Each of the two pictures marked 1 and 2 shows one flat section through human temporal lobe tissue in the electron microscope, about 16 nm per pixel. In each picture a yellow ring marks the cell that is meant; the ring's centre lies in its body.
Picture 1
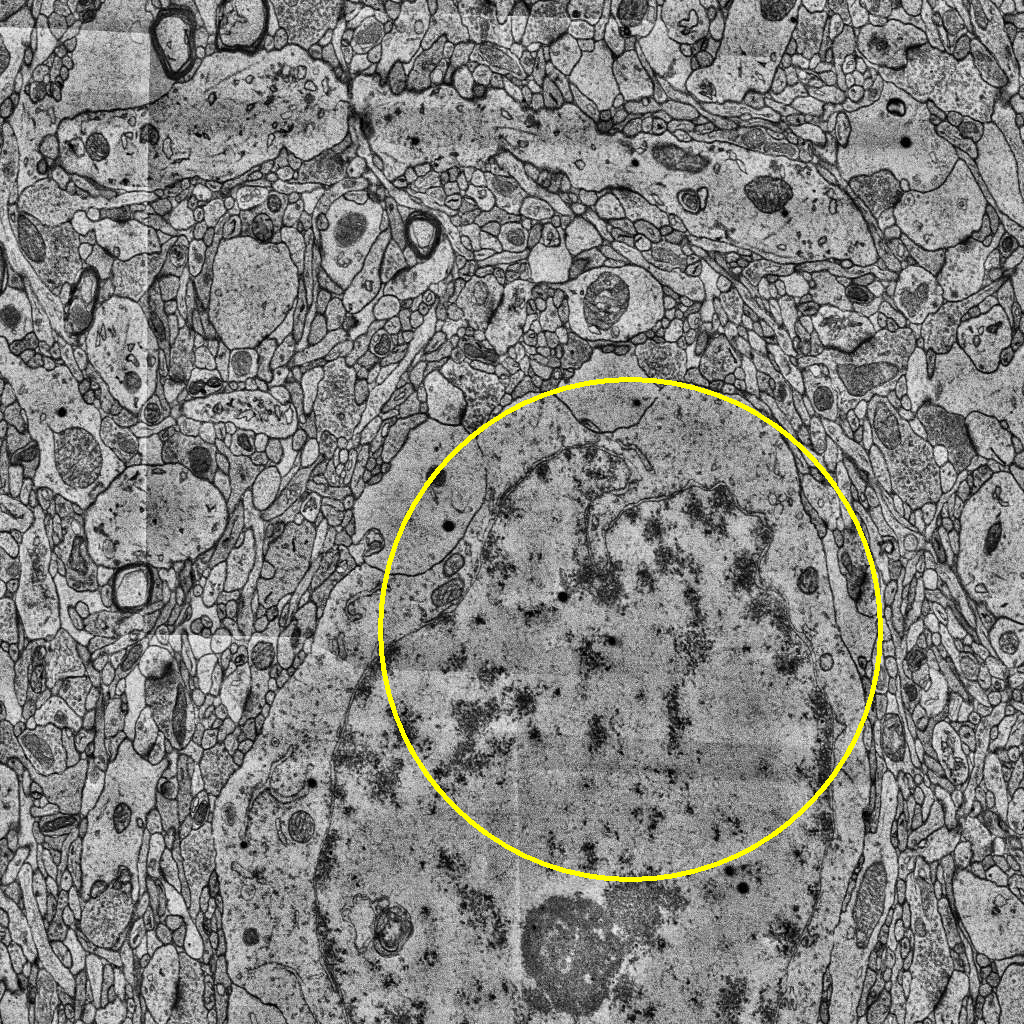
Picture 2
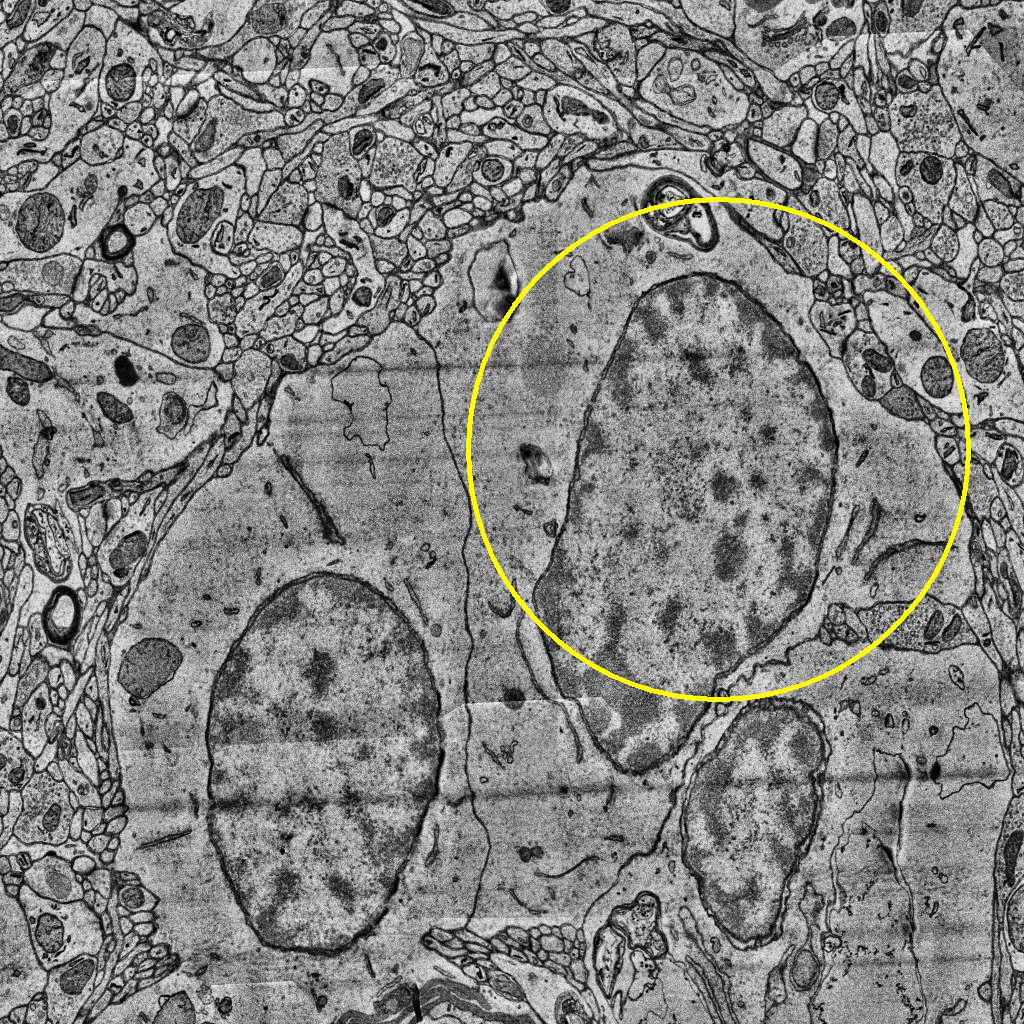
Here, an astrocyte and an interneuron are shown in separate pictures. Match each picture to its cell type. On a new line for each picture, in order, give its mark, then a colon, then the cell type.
1: interneuron
2: astrocyte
